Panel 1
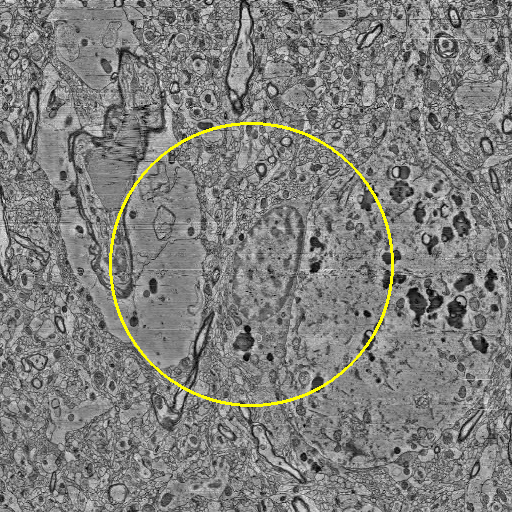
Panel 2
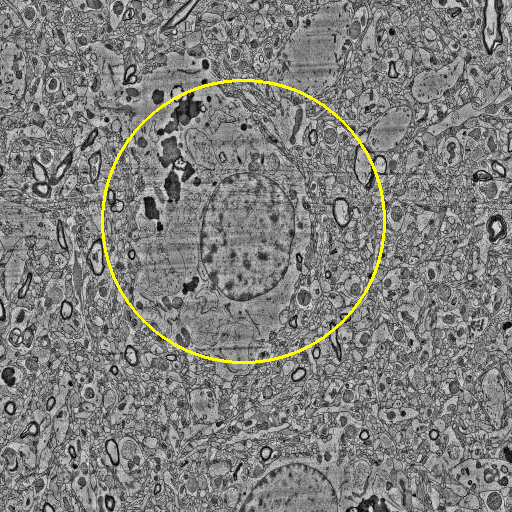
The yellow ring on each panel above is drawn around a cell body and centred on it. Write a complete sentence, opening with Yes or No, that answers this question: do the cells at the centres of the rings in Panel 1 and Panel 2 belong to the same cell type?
No, the two cells belong to two cell types.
